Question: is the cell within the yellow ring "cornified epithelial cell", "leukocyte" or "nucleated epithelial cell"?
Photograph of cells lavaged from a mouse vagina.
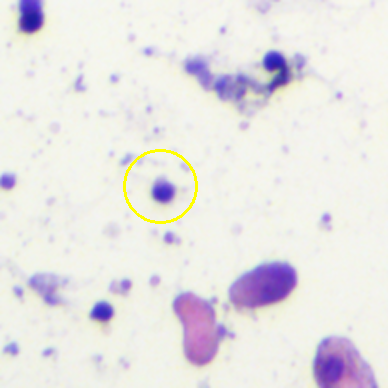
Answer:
leukocyte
